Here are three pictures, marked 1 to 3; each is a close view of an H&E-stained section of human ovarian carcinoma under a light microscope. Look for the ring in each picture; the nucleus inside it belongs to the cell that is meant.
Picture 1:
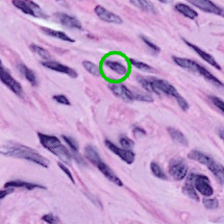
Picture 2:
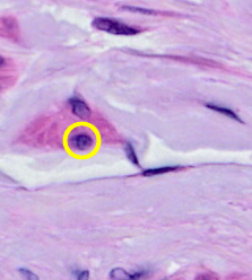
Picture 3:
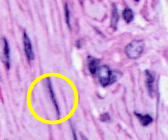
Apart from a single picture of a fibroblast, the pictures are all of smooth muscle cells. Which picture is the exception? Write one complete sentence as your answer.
Picture 3 is the one that shows the fibroblast.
